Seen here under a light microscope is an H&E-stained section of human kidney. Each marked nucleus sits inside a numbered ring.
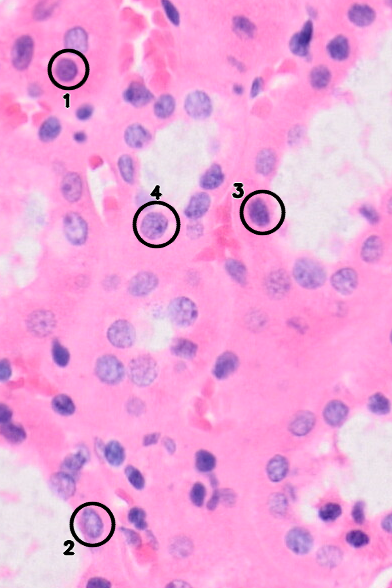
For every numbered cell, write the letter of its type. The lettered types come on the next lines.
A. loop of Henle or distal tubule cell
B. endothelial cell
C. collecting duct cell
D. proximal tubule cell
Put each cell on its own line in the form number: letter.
1: D
2: A
3: A
4: A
